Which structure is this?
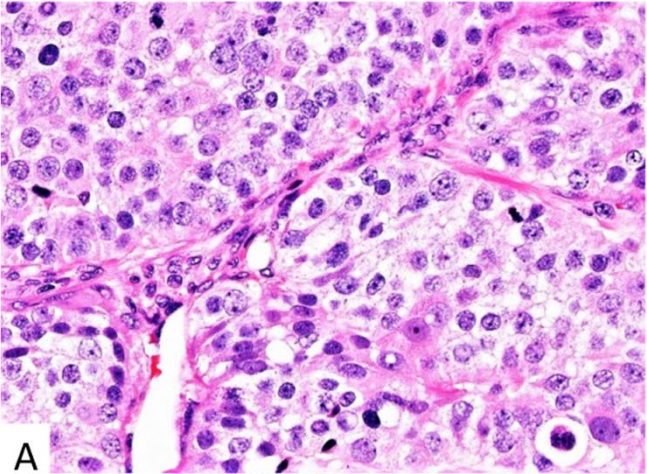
Solid cell clusters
